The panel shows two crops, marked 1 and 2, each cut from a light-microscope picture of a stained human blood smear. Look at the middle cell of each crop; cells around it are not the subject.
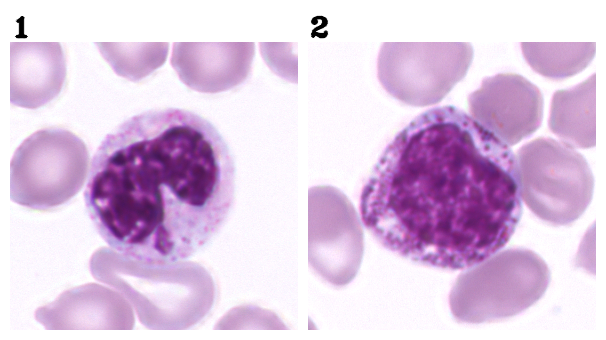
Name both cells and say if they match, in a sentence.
No, crop 1 contains a band neutrophil, whereas crop 2 contains a metamyelocyte.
